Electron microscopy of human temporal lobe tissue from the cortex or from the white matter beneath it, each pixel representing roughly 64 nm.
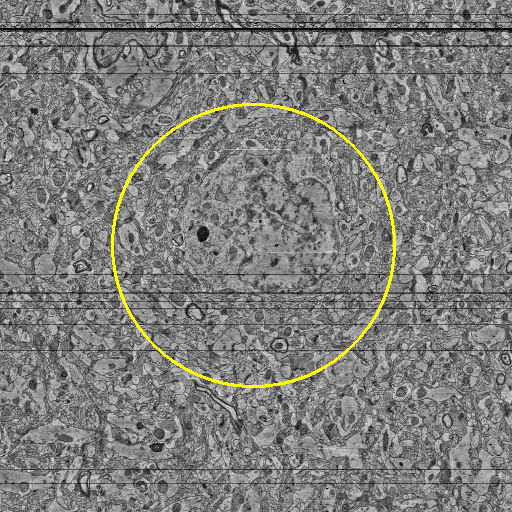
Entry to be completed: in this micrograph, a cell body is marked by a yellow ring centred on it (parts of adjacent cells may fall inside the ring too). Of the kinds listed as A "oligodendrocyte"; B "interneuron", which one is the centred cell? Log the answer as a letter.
B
